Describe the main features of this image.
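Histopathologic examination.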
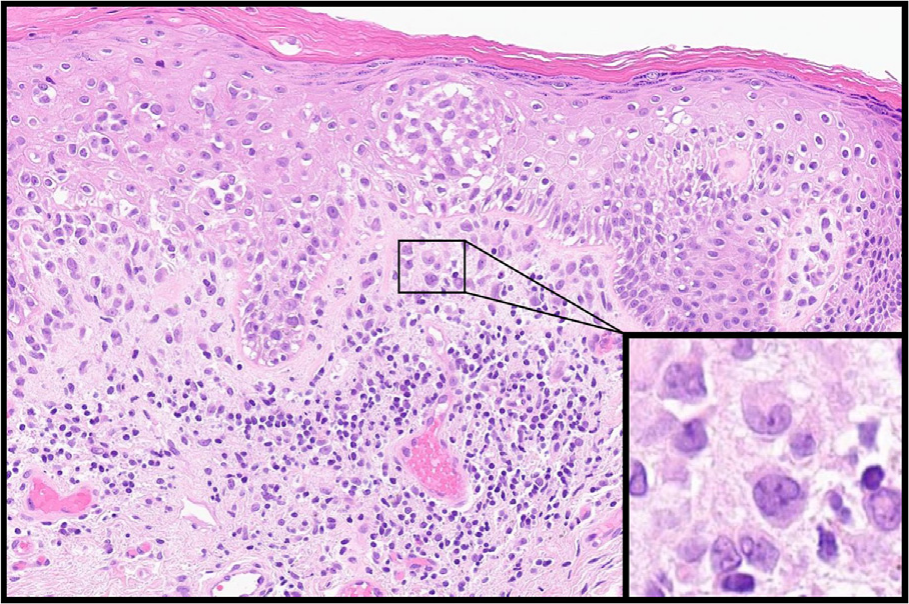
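This is skin, with the epidermis above and a dense infiltrate of cells in the superficial dermis below. The infiltrate mixes small, dark, round lymphocytes with larger cells that have pale pink cytoplasm. These larger histiocyte-like cells also gather in rounded nests within the epidermis. In the enlarged inset, these cells have folded, kidney-shaped or grooved nuclei and abundant eosinophilic cytoplasm, the look of Langerhans cells. A stratum corneum caps the surface. Blood vessels filled with red cells lie within the dermis.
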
